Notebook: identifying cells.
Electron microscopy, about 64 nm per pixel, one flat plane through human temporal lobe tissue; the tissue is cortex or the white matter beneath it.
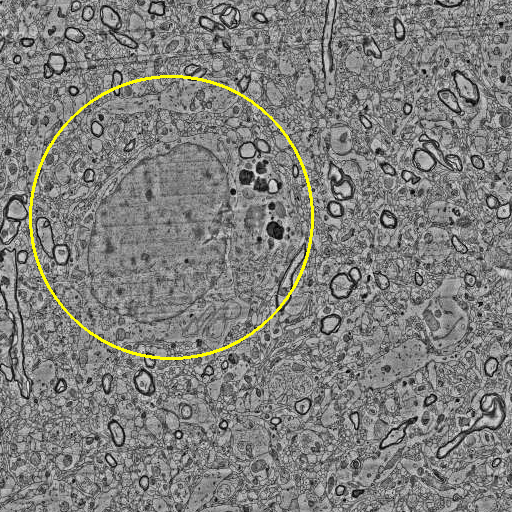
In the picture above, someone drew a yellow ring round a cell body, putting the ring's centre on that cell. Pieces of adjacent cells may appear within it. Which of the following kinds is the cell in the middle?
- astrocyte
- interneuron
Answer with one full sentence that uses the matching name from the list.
In this picture, the yellow ring is centred on the body of an interneuron.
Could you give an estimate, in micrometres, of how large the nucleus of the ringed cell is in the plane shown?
The nucleus works out at approximately 12 by 9 micrometres in this plane.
